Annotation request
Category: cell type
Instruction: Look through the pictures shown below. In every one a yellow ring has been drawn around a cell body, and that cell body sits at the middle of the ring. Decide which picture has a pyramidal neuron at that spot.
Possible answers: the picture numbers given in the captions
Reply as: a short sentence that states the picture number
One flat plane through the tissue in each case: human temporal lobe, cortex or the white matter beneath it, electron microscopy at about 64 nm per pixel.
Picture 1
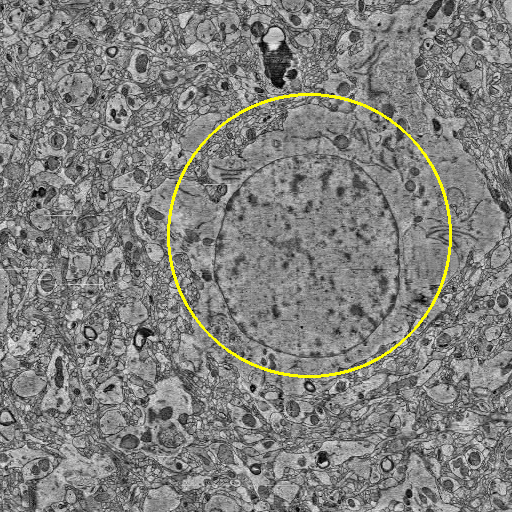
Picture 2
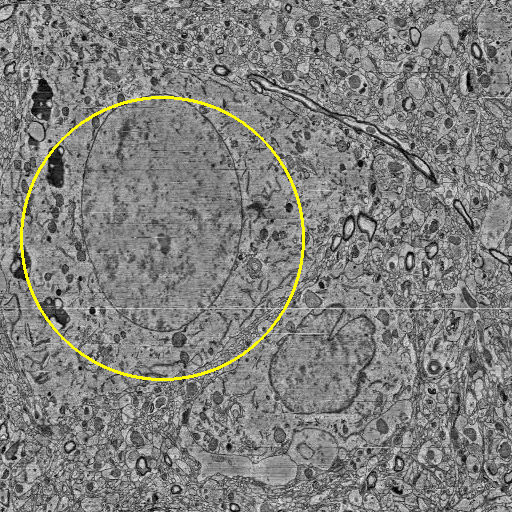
It is in Picture 2.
